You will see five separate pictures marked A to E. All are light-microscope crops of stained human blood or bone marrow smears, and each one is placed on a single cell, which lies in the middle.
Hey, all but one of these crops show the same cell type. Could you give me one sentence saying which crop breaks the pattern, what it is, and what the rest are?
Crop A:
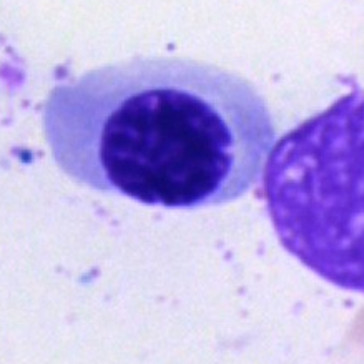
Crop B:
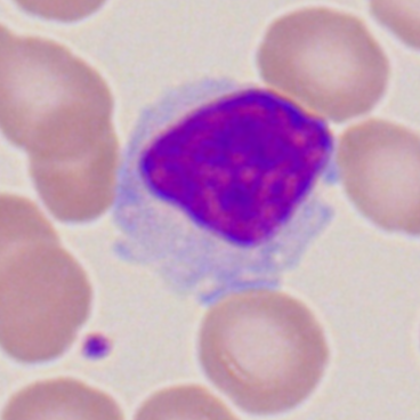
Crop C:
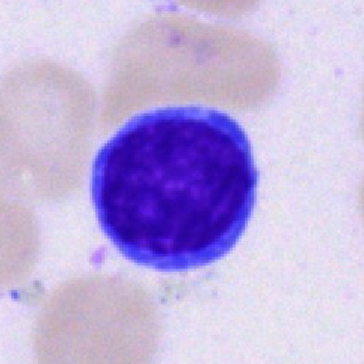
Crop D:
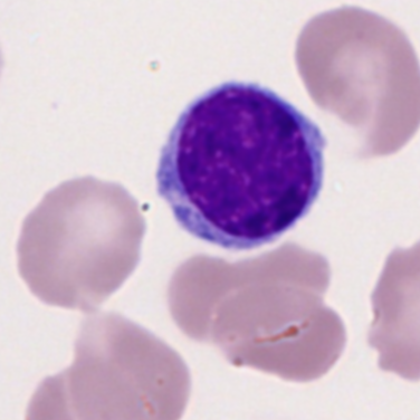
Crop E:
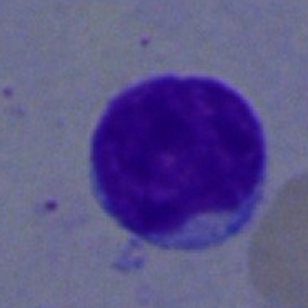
The single exception is crop A, which is a normoblast; all other crops show lymphocytes.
